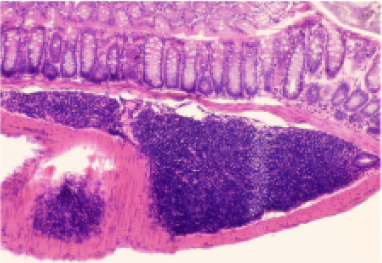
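This section of colon shows a row of tubular crypts with pale goblet cells along the top of the tissue. Below the crypts, a large, dense accumulation of small, darkly purple-staining round nuclei forms a broad mass that displaces the deeper layers. A second, smaller dense purple cluster lies to the left, surrounded by pink smooth muscle. The pink muscle layers curve around these cellular masses.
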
